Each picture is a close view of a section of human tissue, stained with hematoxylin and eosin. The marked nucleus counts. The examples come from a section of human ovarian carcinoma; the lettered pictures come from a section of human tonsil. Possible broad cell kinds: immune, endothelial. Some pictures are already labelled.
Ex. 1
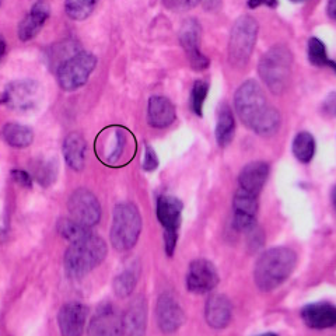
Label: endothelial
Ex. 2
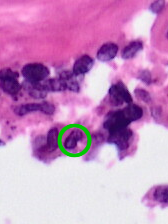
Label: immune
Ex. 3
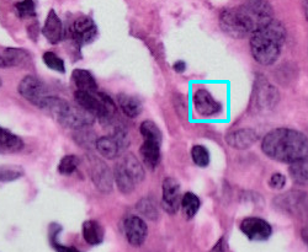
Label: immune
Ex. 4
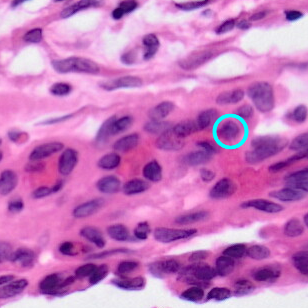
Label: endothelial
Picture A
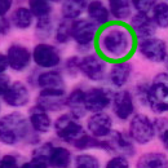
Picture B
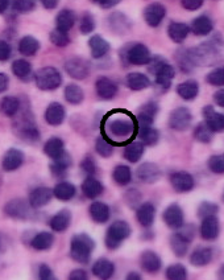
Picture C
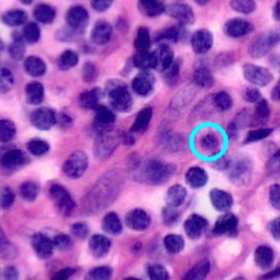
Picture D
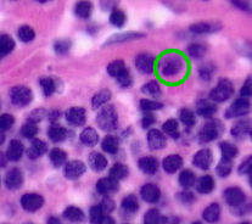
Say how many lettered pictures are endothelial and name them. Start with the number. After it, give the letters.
2: C, D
